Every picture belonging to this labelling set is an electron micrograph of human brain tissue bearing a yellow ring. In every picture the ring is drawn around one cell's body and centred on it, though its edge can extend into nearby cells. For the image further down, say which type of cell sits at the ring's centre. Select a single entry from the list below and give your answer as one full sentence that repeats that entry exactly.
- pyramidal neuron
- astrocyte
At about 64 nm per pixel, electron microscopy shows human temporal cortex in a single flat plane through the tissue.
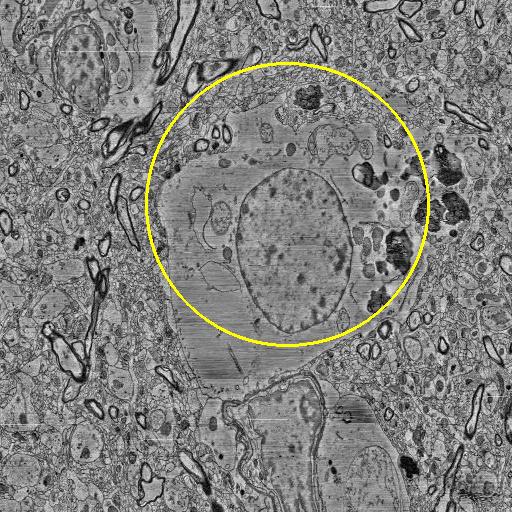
In the picture, an astrocyte is the cell at the centre of the yellow ring.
